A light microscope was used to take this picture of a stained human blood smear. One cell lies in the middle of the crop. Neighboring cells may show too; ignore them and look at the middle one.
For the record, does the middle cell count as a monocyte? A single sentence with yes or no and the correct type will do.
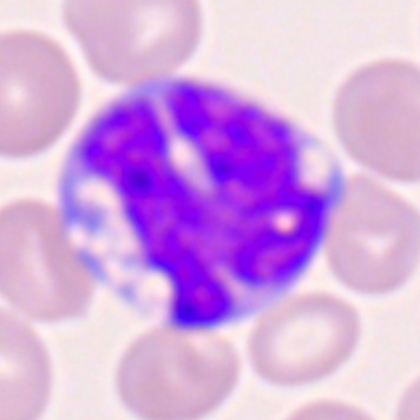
Yes, it is a monocyte that is seen at the centre of the crop.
